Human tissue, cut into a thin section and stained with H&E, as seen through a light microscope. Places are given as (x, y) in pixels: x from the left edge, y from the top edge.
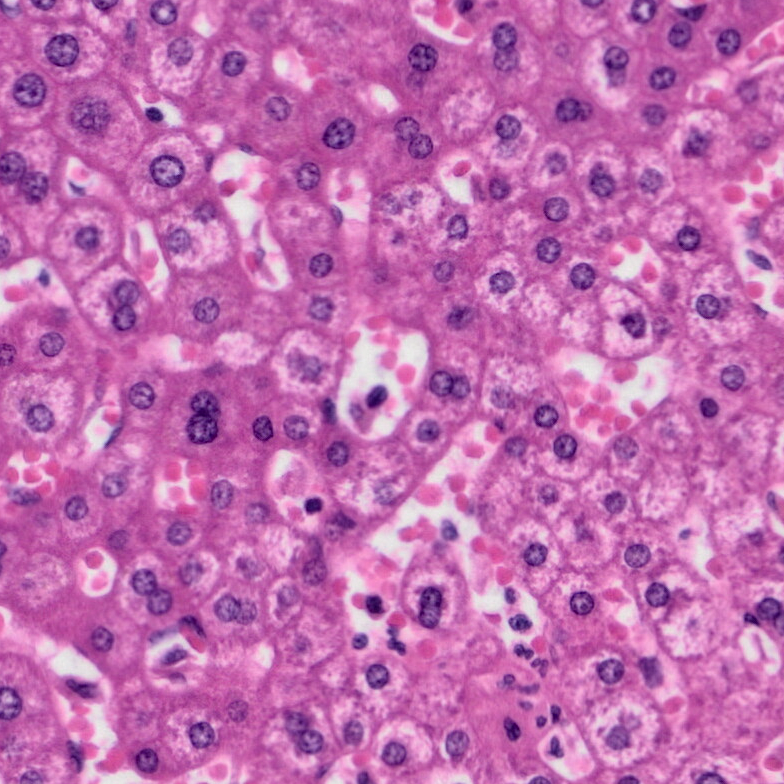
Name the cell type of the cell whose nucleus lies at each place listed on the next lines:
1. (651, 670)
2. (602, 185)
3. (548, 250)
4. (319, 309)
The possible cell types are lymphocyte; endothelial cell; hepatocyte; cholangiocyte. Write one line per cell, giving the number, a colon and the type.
1: endothelial cell
2: hepatocyte
3: hepatocyte
4: hepatocyte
